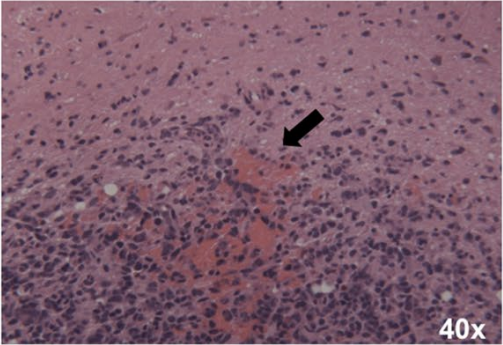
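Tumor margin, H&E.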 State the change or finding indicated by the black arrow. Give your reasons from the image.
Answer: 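Microhemorrhage. Irregular bright red-orange patches lie below the arrow tip. The red material is spread among densely packed dark nuclei. No vessel wall surrounds the red patches.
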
